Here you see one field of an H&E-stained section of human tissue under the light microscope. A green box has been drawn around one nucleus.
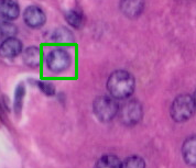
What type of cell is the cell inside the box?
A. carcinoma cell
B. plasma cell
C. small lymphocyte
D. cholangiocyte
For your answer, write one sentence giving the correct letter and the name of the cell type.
Option D is correct; the cell inside the box is a cholangiocyte.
